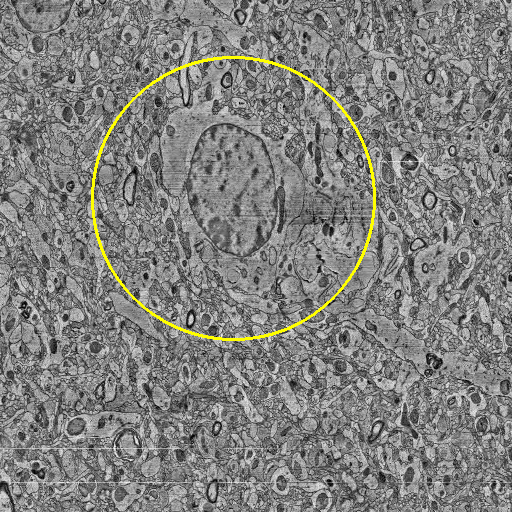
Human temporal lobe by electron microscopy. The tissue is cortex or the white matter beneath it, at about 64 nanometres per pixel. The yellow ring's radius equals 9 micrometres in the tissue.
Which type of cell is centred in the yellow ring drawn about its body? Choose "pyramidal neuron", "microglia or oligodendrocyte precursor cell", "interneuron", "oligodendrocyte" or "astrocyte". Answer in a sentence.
The yellow ring surrounds the cell body of an astrocyte.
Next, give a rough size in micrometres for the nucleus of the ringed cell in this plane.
In this plane the nucleus spans approximately 9 by 6 micrometers.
